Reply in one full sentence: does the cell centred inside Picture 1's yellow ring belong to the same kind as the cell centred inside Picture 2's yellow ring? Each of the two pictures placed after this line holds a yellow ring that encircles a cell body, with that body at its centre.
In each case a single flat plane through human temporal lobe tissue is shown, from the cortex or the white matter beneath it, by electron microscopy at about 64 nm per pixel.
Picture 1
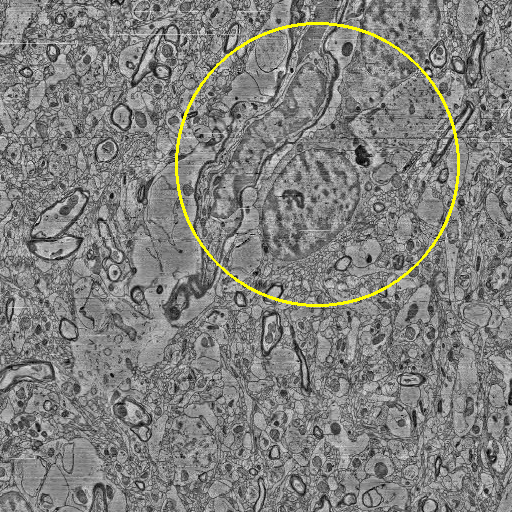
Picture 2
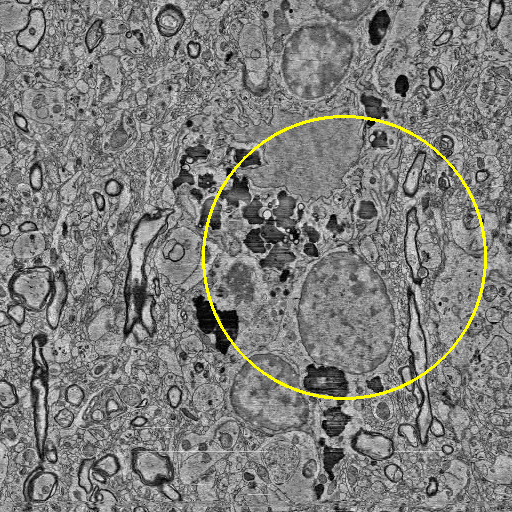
Yes, the ring-centred cells in Picture 1 and Picture 2 are of one and the same kind.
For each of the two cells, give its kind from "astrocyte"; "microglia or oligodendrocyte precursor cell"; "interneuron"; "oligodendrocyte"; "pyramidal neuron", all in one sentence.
Both pictures show an oligodendrocyte at the centre of the ring.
